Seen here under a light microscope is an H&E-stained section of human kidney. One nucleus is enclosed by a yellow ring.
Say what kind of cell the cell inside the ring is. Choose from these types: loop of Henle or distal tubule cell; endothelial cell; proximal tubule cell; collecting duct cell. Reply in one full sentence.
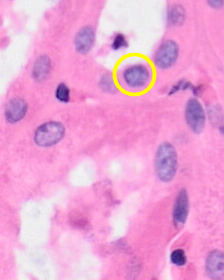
As classified here, the cell inside the ring is a loop of Henle or distal tubule cell.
